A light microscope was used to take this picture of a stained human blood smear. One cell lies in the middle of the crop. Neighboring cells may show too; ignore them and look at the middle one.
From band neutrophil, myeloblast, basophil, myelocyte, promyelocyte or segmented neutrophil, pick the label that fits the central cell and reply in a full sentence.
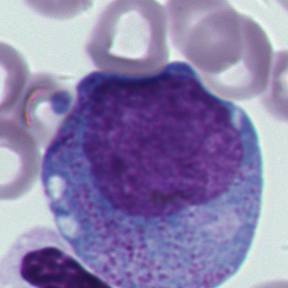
On this slide crop, the central cell is a promyelocyte.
